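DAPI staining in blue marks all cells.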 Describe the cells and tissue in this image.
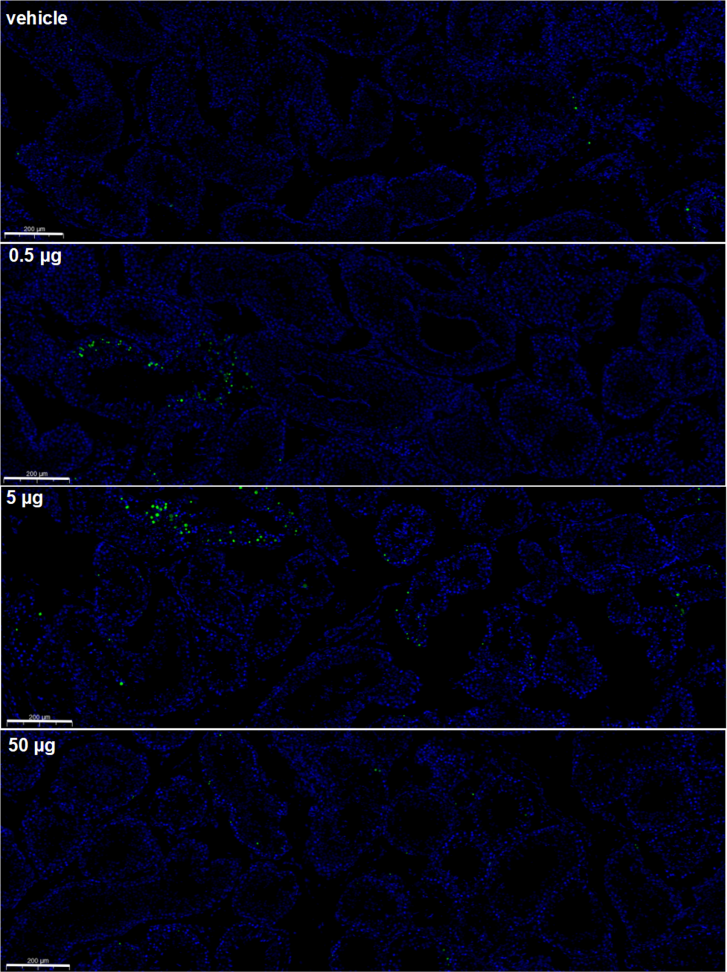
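Low-power fluorescence views of testis show many convoluted seminiferous tubules in cross and oblique section. Each tubule is lined by a thick, multilayered epithelium of densely packed, blue-stained round nuclei around a dark lumen. Dark interstitial gaps with few nuclei separate the tubules. Scattered small, bright green nuclei lie within the tubular epithelium. In some fields the green nuclei form clusters within one or a few neighbouring tubules. Elsewhere only occasional isolated green dots are present. Most nuclei are blue only.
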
